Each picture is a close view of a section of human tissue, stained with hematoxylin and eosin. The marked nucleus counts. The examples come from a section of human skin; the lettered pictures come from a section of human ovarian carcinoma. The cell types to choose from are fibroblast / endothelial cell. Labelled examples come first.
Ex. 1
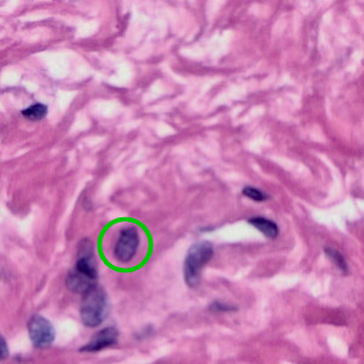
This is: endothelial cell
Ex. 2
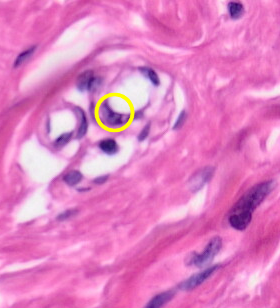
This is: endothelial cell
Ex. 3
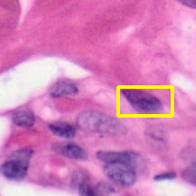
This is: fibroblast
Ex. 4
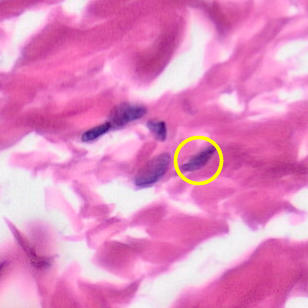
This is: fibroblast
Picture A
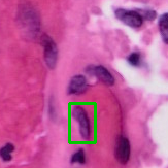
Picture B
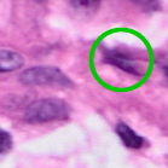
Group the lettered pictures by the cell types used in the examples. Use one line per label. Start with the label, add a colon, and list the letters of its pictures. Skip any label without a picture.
endothelial cell: A, B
